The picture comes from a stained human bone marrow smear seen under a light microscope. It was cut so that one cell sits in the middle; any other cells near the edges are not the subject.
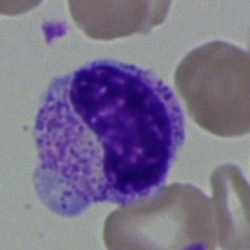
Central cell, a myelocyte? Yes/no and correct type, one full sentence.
No, in the middle of the crop there is a metamyelocyte rather than a myelocyte.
